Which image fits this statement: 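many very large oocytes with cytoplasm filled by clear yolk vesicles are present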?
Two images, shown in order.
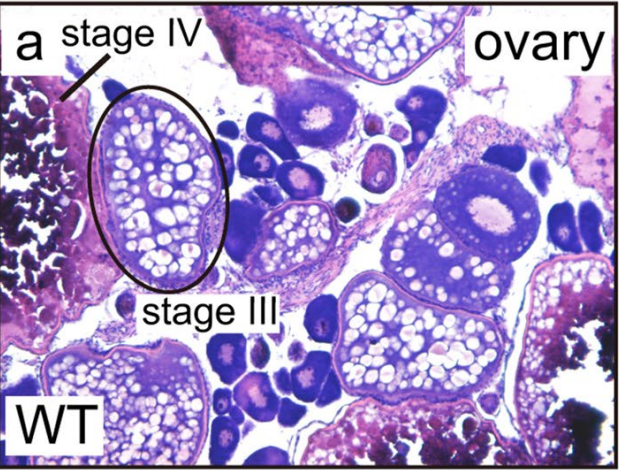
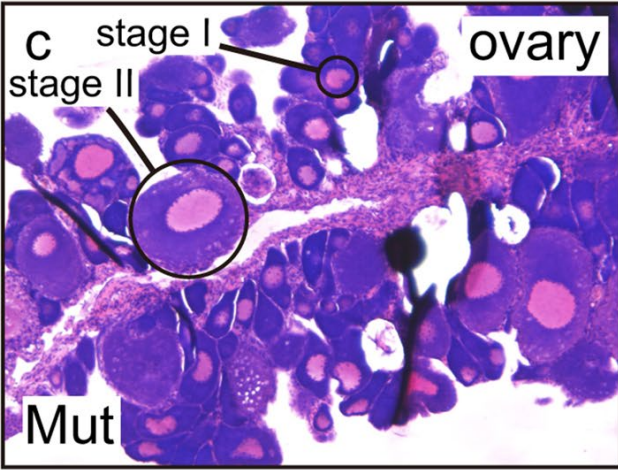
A: The first image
